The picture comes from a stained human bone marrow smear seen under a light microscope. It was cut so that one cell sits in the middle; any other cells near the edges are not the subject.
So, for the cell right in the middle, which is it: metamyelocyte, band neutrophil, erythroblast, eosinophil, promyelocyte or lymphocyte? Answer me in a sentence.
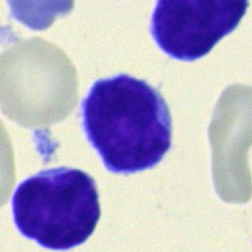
By type, the central cell of the crop is a lymphocyte.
